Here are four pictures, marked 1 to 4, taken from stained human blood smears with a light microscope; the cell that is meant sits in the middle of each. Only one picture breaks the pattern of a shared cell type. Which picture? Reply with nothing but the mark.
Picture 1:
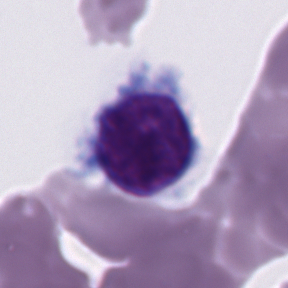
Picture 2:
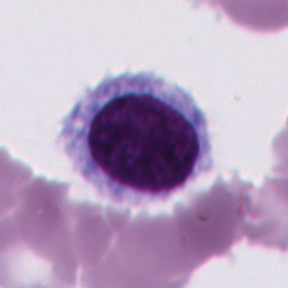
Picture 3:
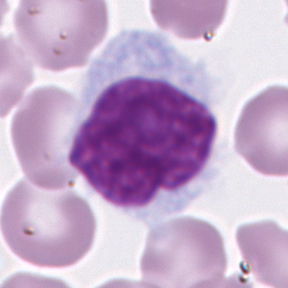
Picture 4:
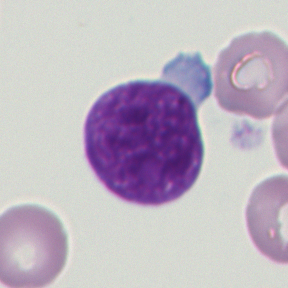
4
